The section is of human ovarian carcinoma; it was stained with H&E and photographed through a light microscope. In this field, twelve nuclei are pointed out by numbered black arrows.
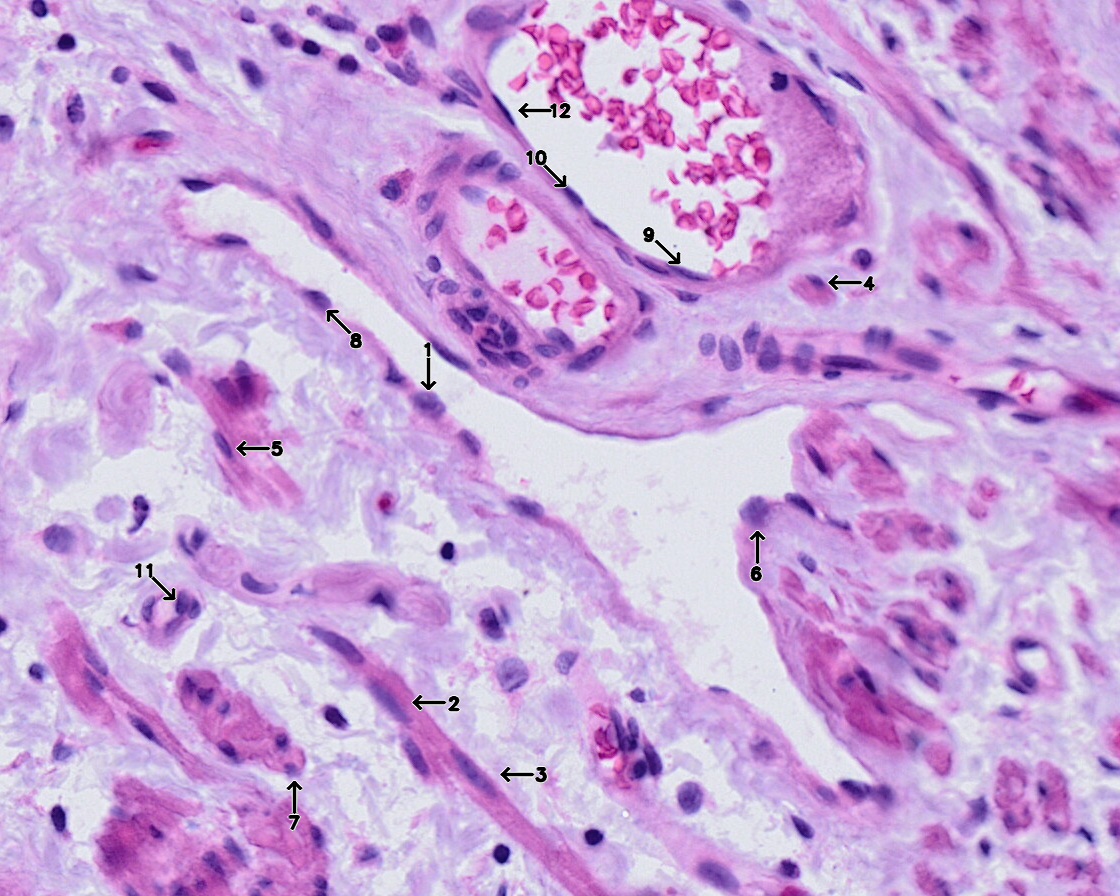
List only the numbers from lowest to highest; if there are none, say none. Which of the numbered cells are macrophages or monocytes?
none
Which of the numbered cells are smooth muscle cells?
2, 3, 4, 5, 7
